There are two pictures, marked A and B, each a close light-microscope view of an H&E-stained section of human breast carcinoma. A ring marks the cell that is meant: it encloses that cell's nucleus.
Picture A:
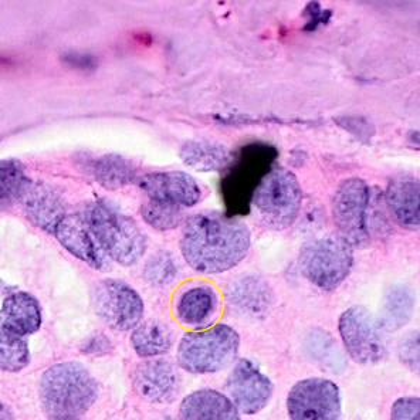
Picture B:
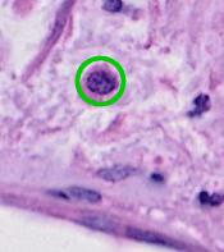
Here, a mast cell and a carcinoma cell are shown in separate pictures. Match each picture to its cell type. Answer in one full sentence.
Picture A is of a carcinoma cell, and picture B is of a mast cell.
